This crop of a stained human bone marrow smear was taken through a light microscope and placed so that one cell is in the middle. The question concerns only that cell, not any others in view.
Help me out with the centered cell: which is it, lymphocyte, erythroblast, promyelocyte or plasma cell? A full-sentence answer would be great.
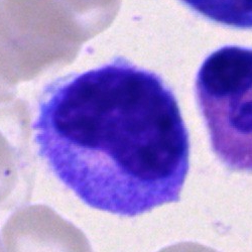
The centrally placed cell is classified as a promyelocyte.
